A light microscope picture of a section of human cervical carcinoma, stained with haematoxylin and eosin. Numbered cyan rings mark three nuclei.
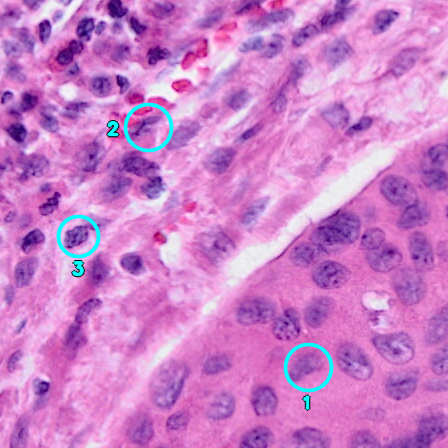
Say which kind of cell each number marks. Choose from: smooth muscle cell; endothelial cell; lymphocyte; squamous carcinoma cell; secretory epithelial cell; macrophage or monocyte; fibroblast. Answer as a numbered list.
1. squamous carcinoma cell
2. endothelial cell
3. lymphocyte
